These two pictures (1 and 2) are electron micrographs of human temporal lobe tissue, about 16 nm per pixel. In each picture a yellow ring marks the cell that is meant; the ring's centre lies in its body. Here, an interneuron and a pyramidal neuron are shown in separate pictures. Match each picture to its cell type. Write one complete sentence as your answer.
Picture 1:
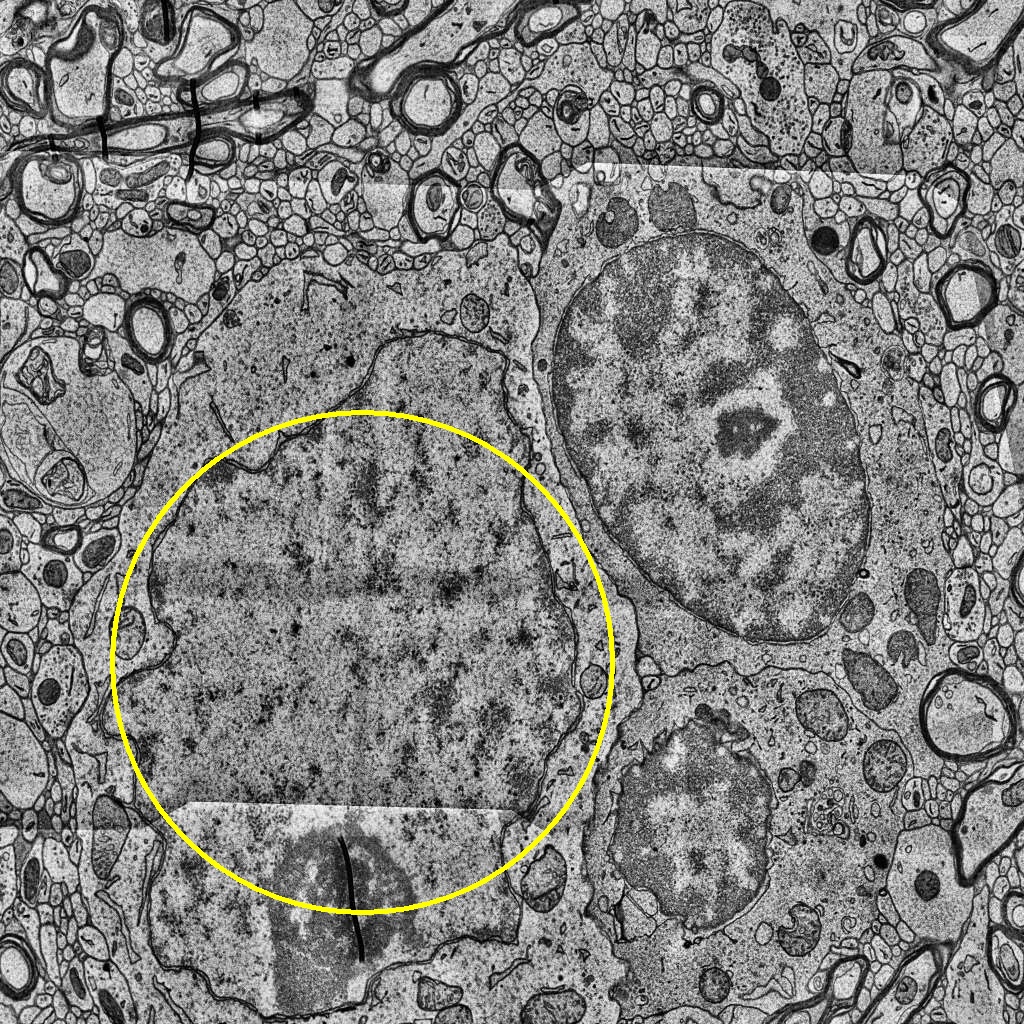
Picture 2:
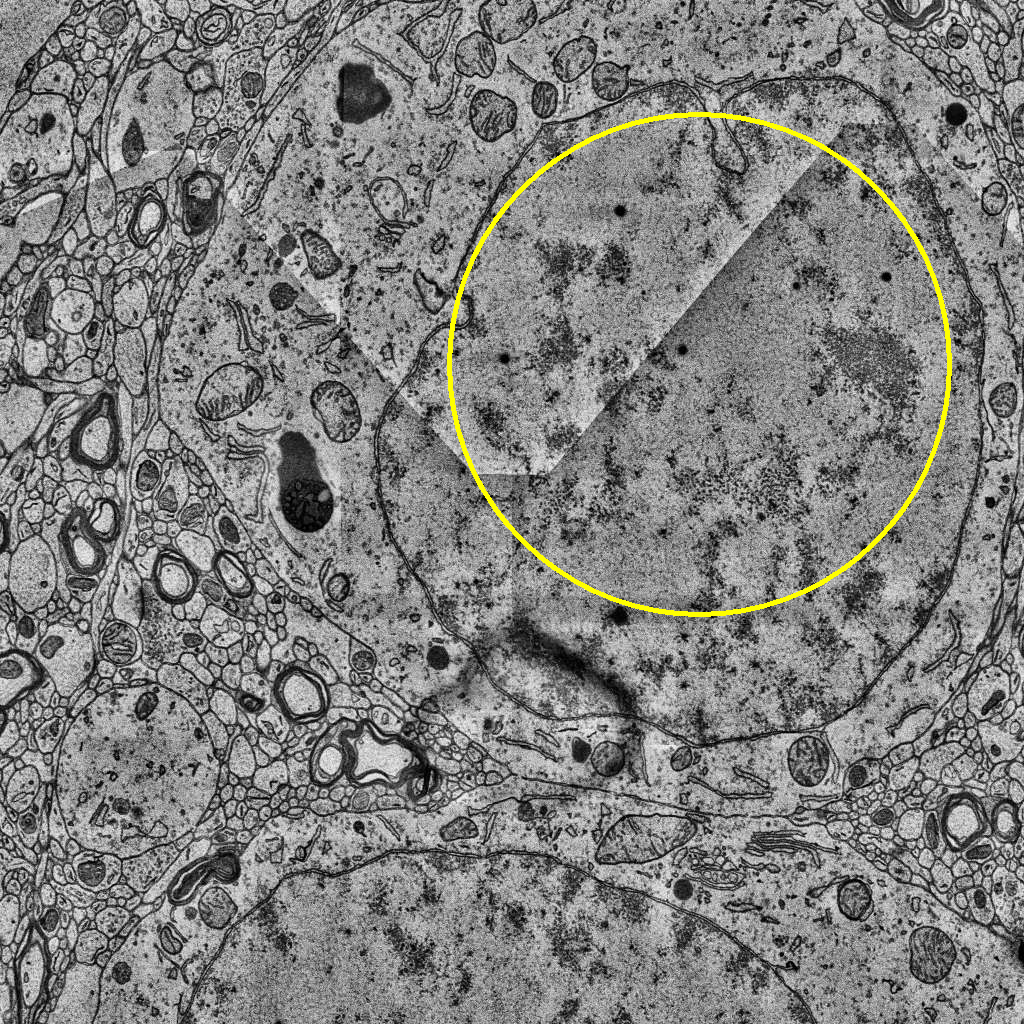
Picture 1 shows an interneuron and picture 2 shows a pyramidal neuron.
